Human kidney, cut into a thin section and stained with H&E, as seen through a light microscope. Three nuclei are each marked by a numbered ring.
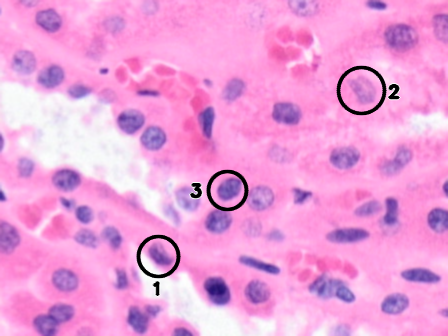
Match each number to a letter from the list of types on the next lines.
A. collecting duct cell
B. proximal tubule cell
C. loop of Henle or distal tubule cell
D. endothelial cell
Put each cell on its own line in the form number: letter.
1: C
2: B
3: C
